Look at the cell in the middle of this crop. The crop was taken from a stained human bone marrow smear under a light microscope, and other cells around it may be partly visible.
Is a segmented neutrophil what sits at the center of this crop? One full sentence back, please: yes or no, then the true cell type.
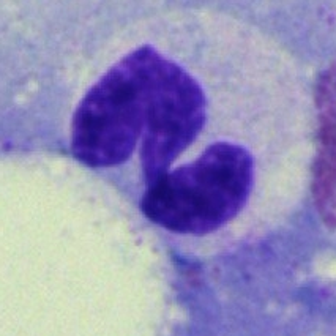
Yes, the cell in the middle of the view is a segmented neutrophil.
